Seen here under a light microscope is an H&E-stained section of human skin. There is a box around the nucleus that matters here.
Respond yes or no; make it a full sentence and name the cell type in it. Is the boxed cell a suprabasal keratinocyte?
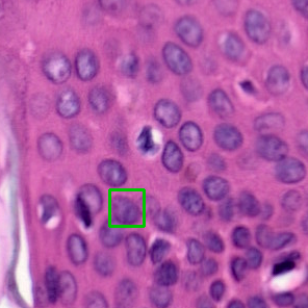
Yes, the boxed cell is accurately described as a suprabasal keratinocyte.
